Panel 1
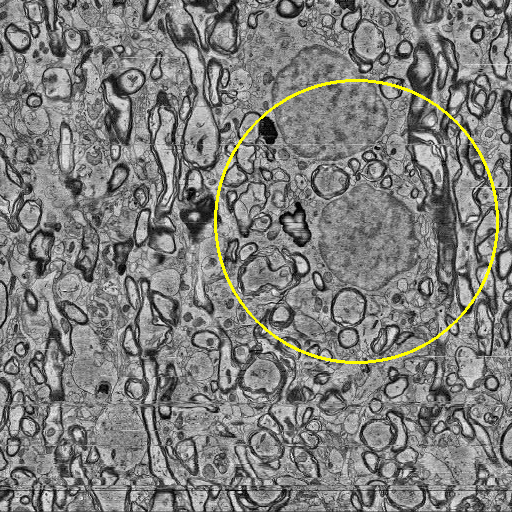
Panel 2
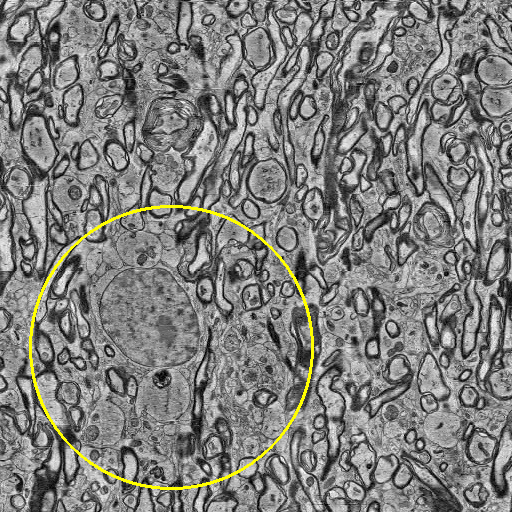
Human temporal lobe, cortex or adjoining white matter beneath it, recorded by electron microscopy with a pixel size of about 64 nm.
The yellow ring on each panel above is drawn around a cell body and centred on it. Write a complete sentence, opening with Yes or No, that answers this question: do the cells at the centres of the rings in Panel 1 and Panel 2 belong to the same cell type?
No, the two cells belong to two cell types.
